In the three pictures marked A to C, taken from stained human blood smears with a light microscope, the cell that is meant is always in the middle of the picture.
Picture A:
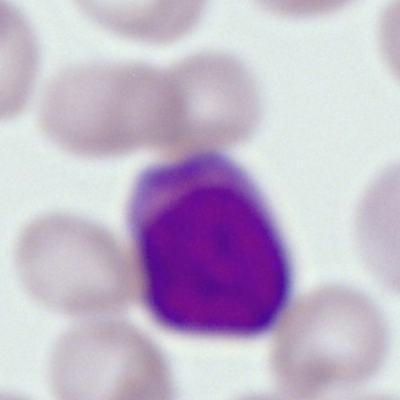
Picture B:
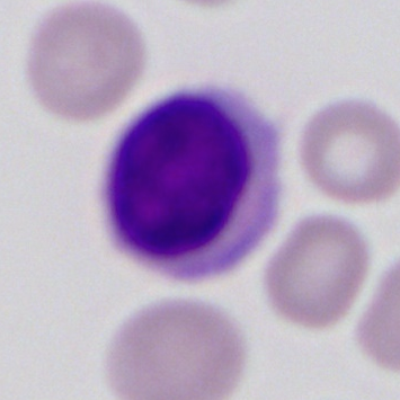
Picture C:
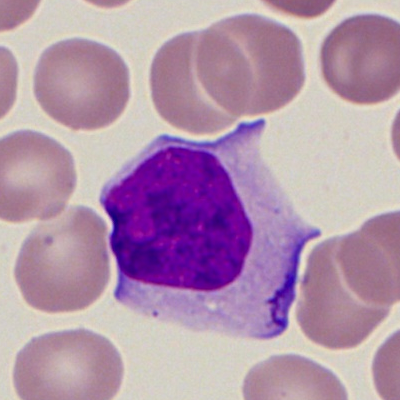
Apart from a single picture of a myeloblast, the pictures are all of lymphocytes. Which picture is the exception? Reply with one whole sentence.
It is picture A that shows the myeloblast.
